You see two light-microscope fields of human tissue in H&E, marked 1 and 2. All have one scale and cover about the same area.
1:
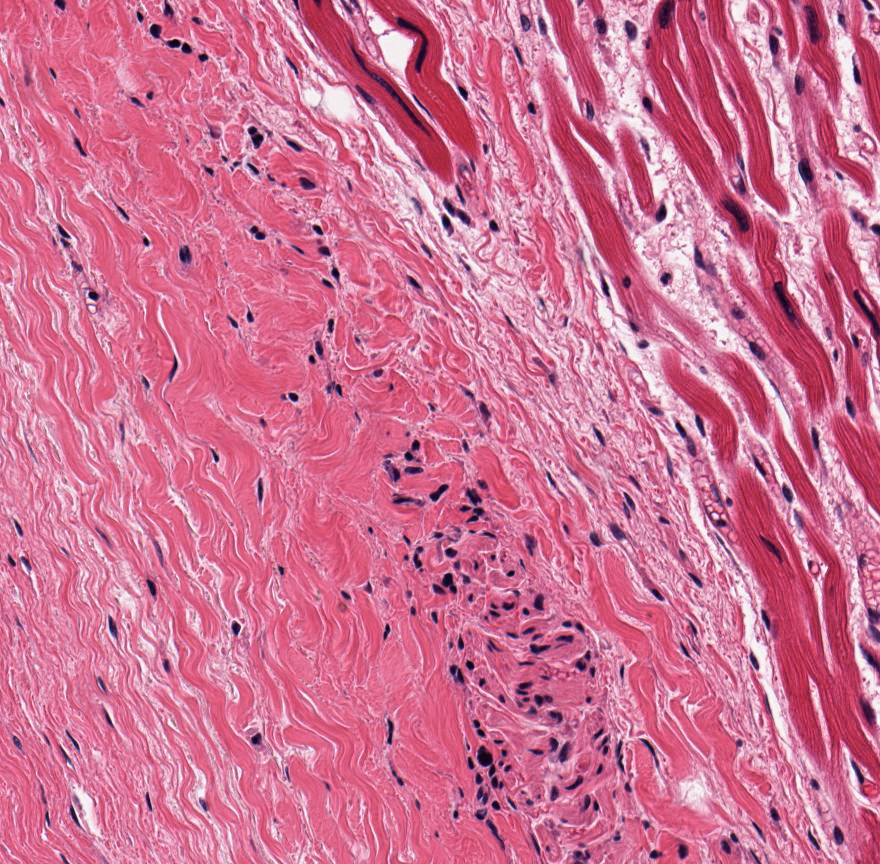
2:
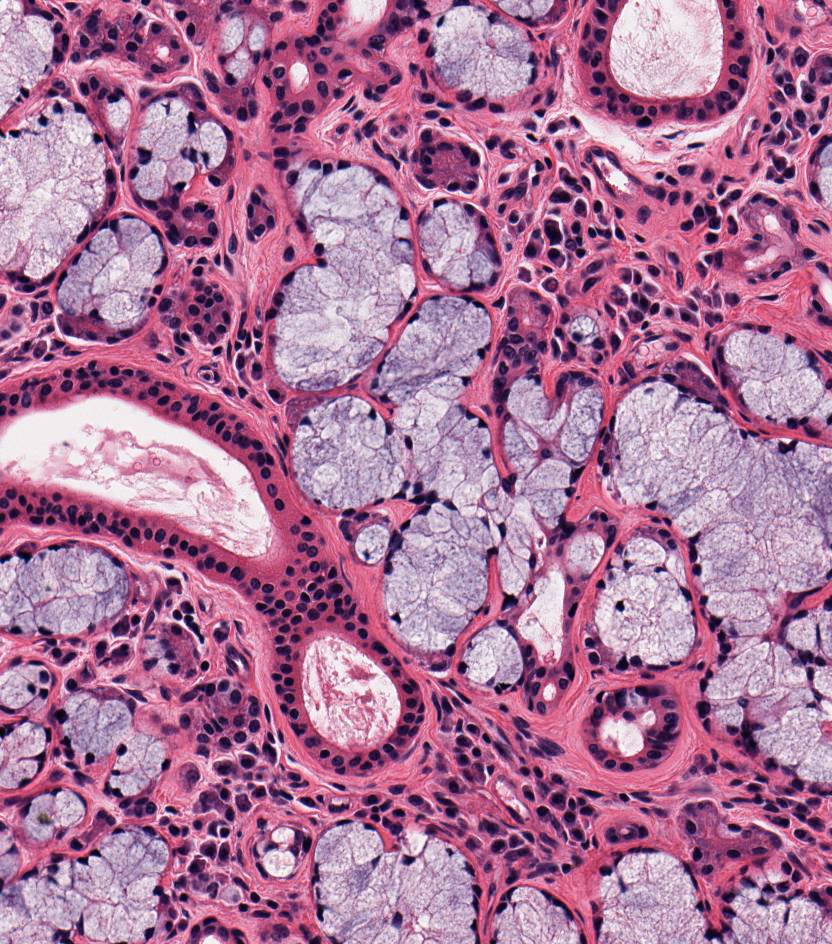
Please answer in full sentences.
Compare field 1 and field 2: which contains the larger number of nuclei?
The larger number of nuclei is in field 2.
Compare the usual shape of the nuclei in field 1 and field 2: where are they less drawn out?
Rounder nuclei lie in field 2.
